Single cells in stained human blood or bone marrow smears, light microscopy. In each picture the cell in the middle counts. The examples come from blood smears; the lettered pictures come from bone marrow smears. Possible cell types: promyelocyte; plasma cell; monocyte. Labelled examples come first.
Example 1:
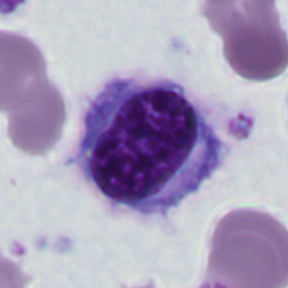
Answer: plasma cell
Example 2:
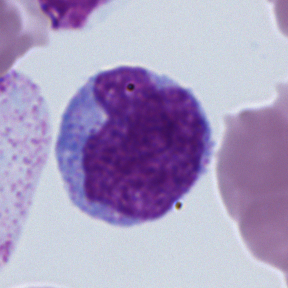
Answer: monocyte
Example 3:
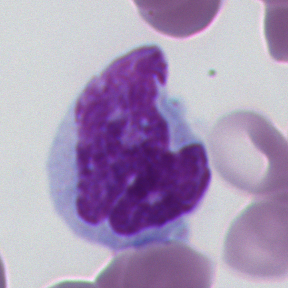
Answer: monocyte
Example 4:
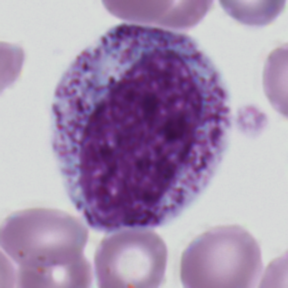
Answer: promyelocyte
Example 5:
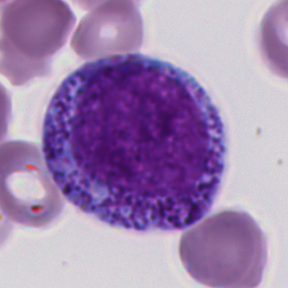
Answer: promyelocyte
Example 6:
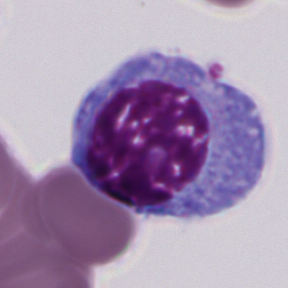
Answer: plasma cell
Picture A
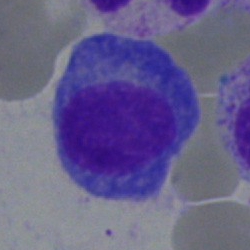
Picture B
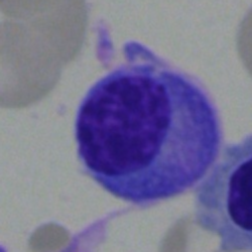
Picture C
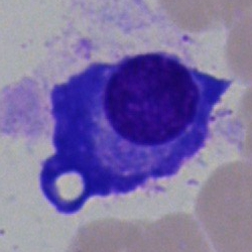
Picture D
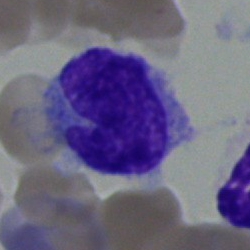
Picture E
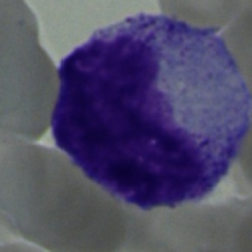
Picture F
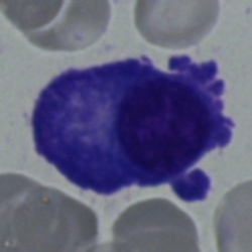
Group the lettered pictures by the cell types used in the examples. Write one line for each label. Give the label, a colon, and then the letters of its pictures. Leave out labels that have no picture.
promyelocyte: E
plasma cell: A, B, C, F
monocyte: D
